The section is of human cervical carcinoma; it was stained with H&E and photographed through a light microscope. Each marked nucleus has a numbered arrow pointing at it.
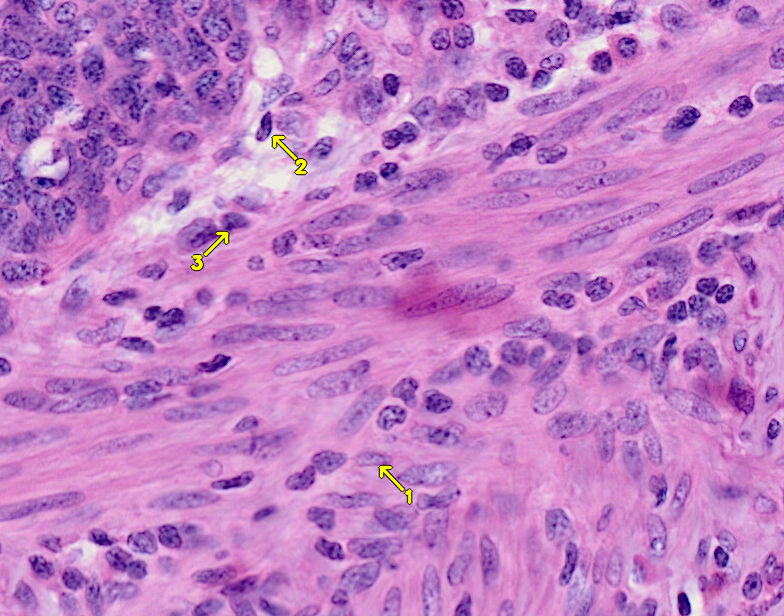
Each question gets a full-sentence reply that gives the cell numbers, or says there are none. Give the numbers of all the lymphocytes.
The cells numbered 2 and 3 are of one kind: lymphocytes.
